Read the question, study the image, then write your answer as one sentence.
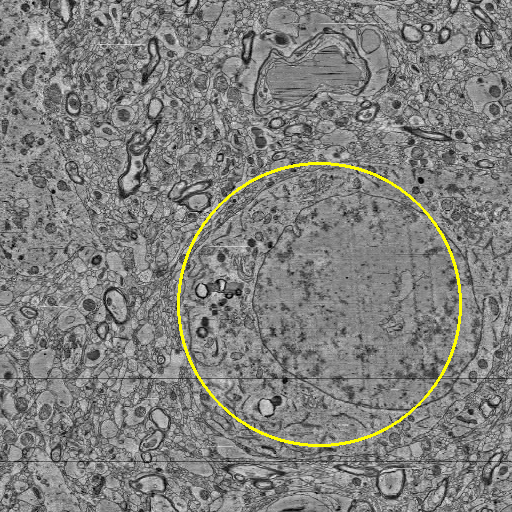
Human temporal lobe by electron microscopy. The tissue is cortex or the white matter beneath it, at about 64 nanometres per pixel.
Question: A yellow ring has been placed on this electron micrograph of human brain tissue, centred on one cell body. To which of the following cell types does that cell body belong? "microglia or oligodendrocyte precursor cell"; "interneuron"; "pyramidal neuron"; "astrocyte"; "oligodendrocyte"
That cell body belongs to a pyramidal neuron.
